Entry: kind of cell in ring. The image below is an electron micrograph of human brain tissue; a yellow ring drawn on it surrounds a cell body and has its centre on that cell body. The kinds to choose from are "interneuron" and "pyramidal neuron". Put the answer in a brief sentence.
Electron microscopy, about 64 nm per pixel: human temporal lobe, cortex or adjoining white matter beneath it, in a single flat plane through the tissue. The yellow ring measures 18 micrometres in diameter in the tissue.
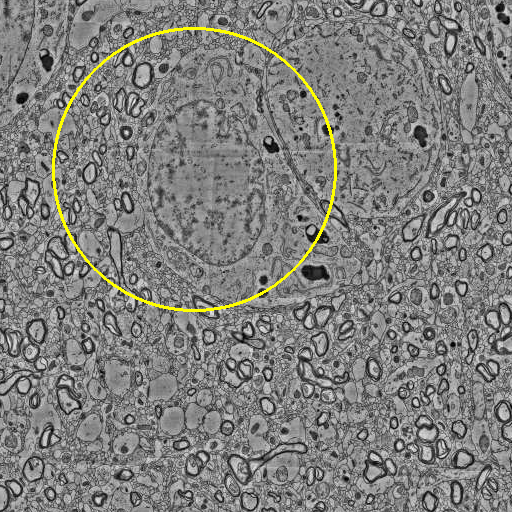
The ring has been drawn around an interneuron.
